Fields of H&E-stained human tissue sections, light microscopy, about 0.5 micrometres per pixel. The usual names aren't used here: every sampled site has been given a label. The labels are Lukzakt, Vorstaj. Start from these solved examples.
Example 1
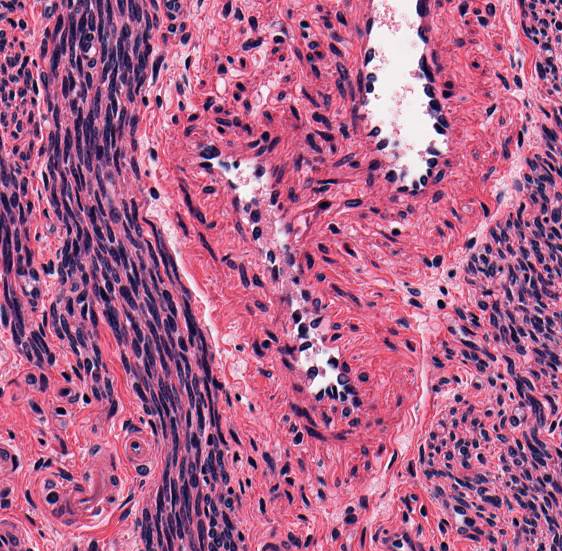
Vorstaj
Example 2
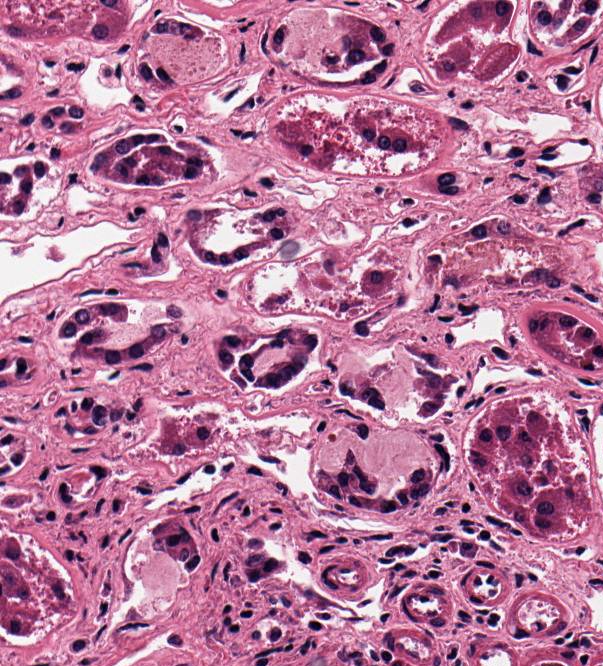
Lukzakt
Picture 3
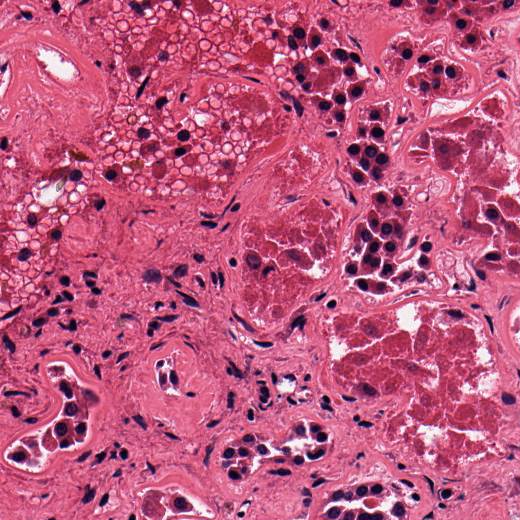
Lukzakt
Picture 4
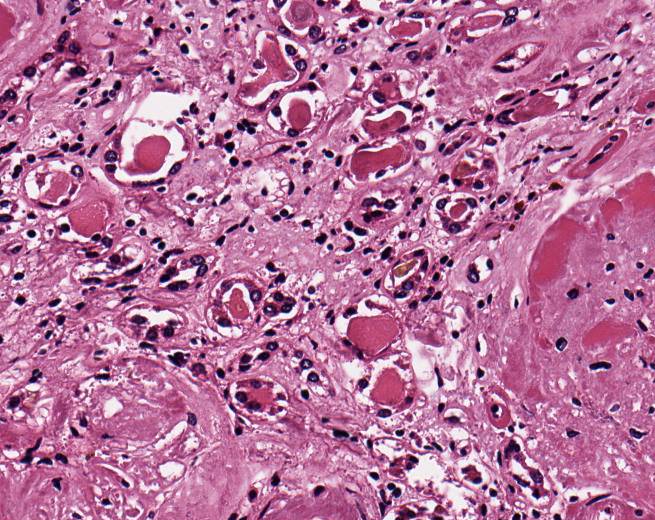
Lukzakt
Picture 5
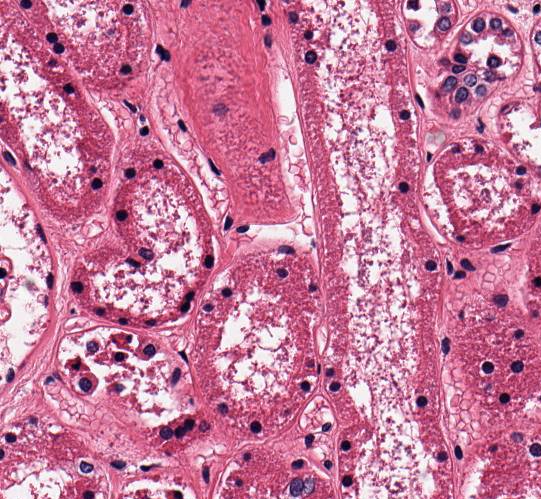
Lukzakt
